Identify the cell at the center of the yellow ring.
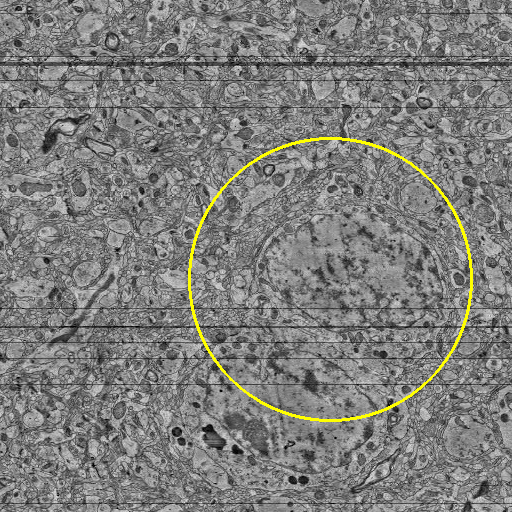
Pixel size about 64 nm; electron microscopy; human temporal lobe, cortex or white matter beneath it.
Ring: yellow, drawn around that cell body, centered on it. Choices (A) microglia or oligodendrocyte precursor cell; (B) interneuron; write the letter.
B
